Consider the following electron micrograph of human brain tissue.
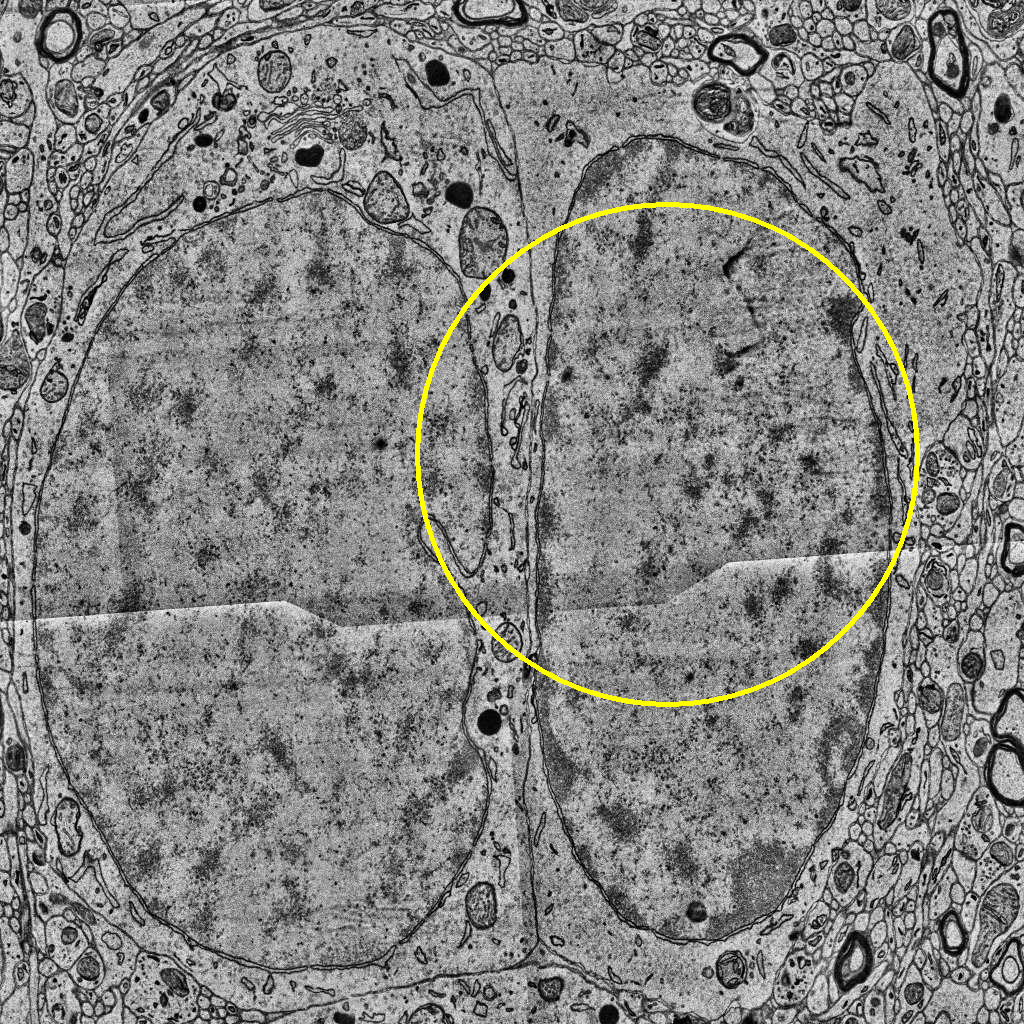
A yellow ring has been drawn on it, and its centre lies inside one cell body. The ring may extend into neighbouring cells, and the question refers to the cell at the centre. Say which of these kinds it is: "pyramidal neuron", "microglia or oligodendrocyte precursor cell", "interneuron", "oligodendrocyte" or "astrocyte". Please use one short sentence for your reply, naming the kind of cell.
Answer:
The centre of the ring falls on a microglial cell or oligodendrocyte precursor cell.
